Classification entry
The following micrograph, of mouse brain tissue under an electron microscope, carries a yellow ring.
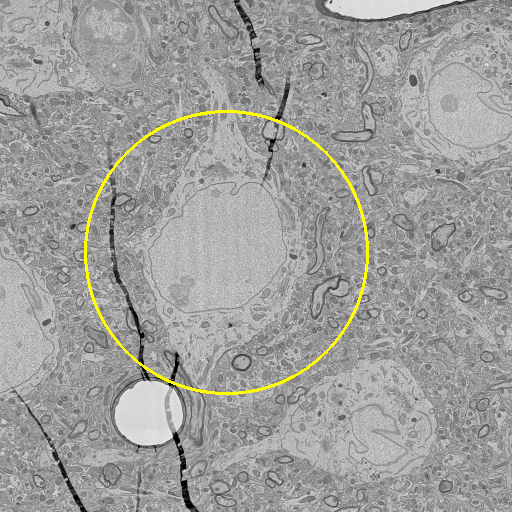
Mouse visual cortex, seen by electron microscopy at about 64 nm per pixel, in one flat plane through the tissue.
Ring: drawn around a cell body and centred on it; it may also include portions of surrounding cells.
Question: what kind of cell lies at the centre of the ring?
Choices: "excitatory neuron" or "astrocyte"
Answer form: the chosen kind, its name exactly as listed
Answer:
excitatory neuron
